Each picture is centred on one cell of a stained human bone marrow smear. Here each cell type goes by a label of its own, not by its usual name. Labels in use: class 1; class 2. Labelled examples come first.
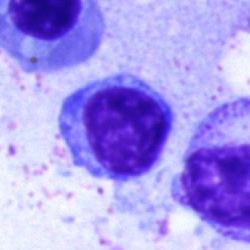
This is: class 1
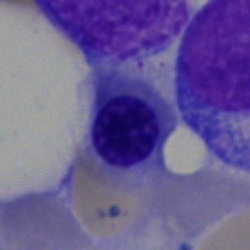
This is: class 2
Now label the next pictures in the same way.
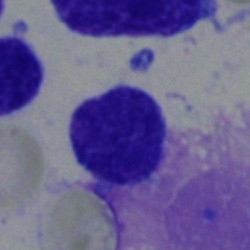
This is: class 1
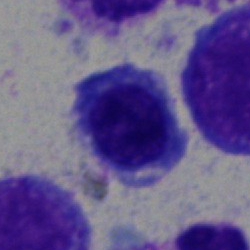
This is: class 2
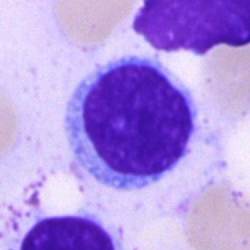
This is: class 1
